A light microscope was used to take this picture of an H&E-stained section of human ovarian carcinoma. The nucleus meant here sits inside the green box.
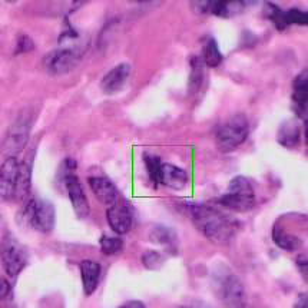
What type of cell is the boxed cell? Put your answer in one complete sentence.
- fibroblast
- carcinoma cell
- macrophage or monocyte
In cell-type terms, the boxed cell is a macrophage or monocyte.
